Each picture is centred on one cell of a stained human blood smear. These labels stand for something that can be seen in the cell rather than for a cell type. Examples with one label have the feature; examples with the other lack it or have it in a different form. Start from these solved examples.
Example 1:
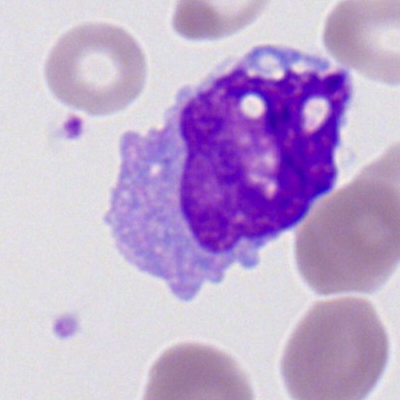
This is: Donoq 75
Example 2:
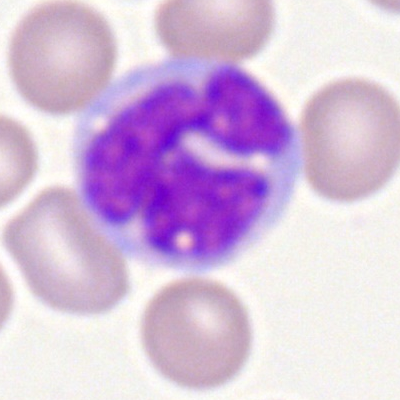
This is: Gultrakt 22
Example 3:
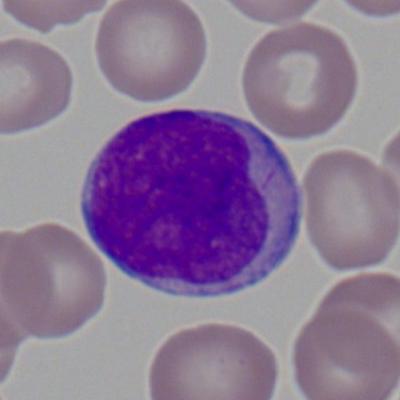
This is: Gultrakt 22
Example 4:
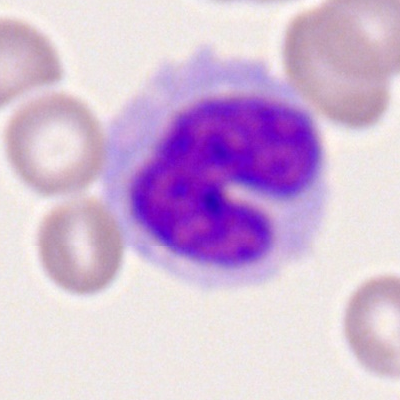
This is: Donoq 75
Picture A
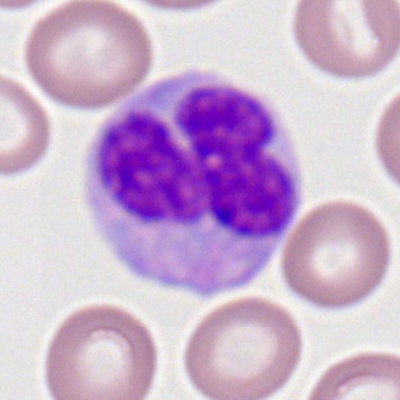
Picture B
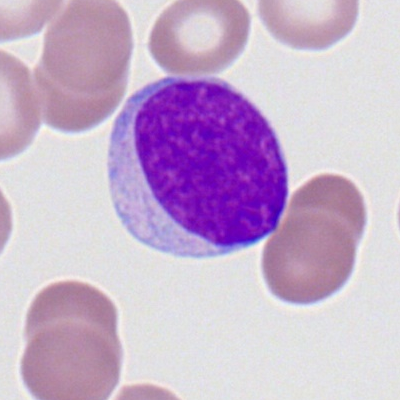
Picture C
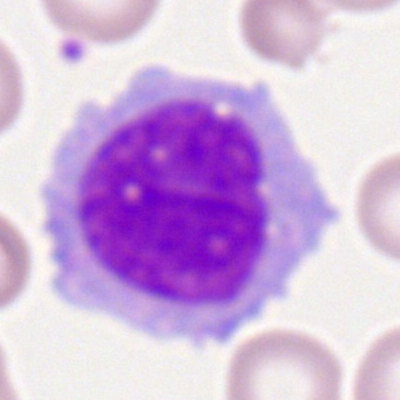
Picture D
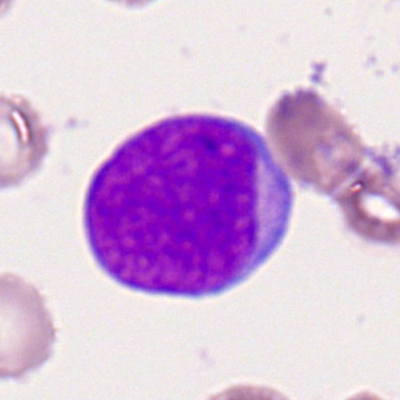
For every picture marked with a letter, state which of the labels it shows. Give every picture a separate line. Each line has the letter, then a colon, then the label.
A: Gultrakt 22
B: Gultrakt 22
C: Donoq 75
D: Gultrakt 22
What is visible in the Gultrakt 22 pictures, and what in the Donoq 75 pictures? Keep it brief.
Gultrakt 22, smooth outline; Donoq 75, ragged outline or projections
